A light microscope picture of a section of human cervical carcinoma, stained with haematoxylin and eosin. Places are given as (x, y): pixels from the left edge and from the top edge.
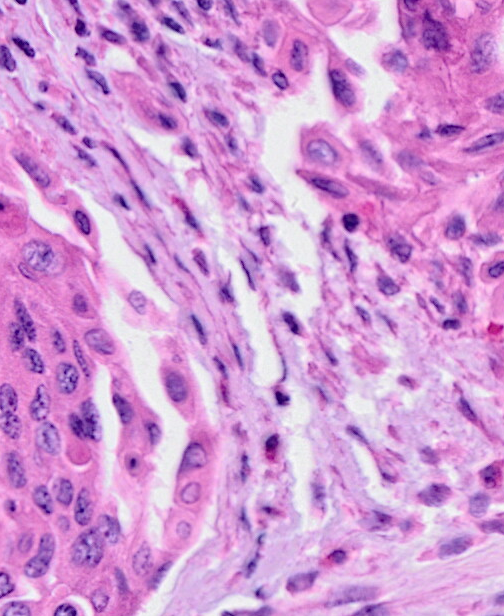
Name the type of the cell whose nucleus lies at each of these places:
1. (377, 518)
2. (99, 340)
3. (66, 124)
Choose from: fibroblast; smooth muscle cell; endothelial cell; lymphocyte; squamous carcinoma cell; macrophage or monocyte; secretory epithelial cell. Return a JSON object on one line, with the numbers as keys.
{"1": "fibroblast", "2": "squamous carcinoma cell", "3": "fibroblast"}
